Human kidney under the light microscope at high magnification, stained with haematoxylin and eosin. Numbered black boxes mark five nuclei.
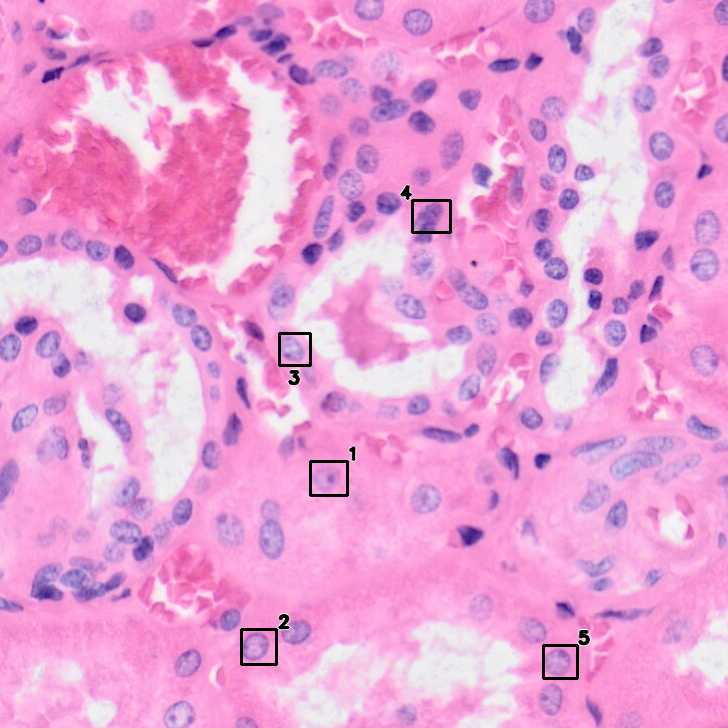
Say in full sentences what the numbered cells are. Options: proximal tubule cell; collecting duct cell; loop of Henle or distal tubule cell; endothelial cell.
Cell 1 is a proximal tubule cell, cell 2 is a proximal tubule cell, cell 3 is a collecting duct cell, cell 4 is a collecting duct cell and cell 5 is a proximal tubule cell.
